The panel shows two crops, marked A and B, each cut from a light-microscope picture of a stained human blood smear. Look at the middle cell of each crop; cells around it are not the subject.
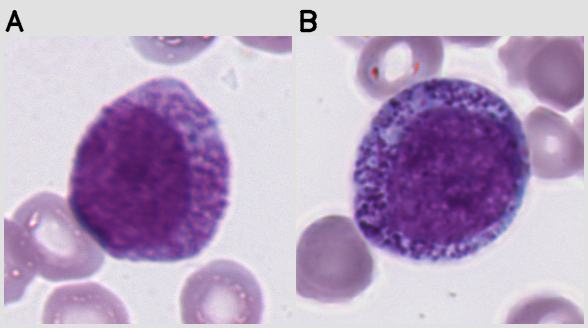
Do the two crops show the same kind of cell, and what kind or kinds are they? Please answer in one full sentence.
Yes, both crops, not just one, show promyelocytes.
